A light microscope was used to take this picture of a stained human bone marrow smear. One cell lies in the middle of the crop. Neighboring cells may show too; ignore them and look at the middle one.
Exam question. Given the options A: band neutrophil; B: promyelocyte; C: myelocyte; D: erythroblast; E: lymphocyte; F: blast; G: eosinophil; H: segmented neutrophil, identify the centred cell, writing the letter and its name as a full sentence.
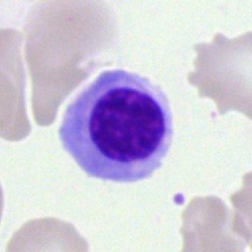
The cell right in the middle is an erythroblast, so option D is the one.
